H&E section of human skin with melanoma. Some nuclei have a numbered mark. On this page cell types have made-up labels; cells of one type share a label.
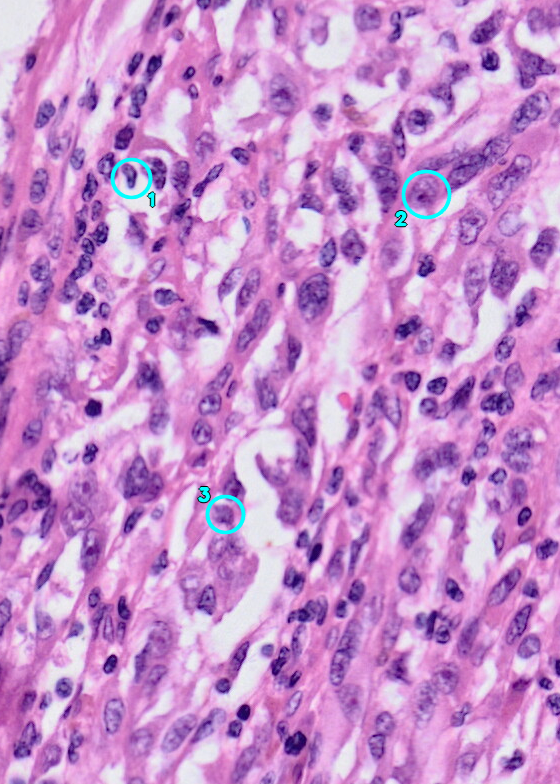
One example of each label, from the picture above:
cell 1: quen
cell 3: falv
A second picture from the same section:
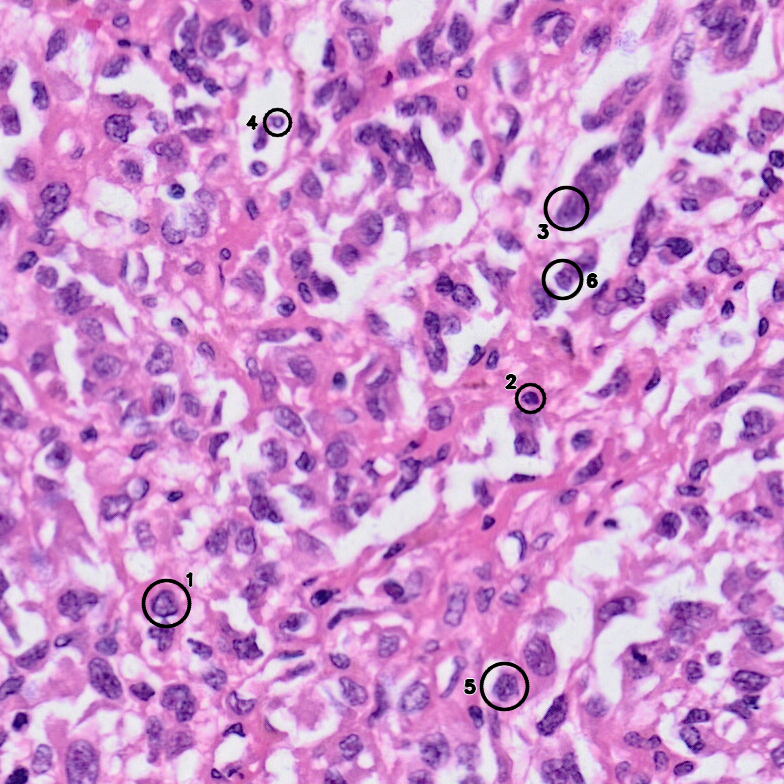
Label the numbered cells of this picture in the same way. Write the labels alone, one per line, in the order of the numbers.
falv
quen
falv
quen
falv
falv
